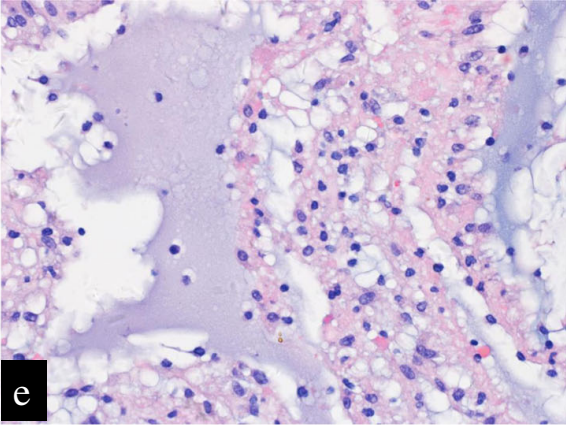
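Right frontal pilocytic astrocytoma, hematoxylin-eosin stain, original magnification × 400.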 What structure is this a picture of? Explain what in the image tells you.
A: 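Loosely arranged myxoid background. Broad pale bluish-purple amorphous areas with few cells. Many clear spaces and vacuoles loosen the tissue. Cells lie scattered rather than packed.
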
